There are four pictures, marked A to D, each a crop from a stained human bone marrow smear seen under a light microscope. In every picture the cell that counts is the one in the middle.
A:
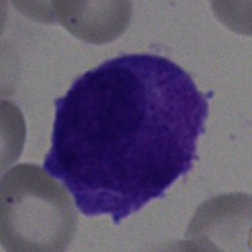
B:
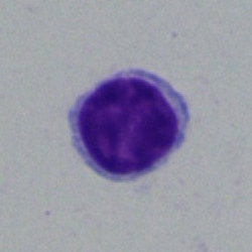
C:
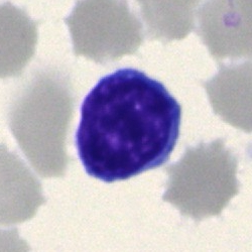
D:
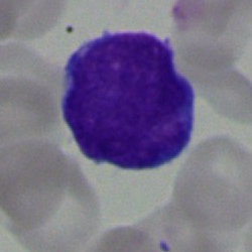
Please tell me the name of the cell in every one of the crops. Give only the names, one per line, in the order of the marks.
blast
lymphocyte
lymphocyte
blast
